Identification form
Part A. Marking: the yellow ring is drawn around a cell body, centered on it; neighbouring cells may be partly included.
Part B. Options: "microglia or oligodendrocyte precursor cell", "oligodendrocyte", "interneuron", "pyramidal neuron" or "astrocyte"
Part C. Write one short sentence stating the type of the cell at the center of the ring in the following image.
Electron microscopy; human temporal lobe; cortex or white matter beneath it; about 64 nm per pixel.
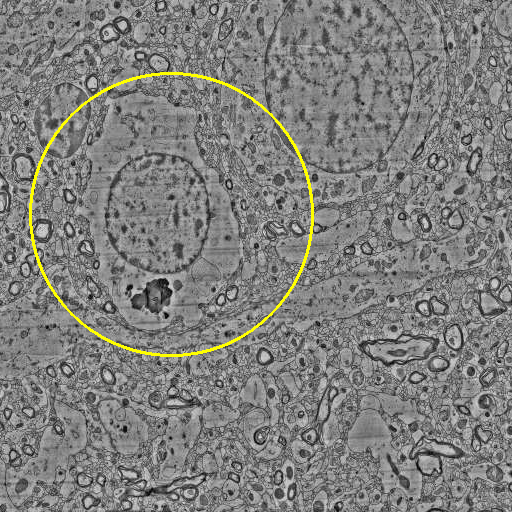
The center of the ring holds an astrocyte.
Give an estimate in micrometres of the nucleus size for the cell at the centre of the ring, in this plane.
The ringed cell's nucleus is about 7 micrometres across in this plane.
